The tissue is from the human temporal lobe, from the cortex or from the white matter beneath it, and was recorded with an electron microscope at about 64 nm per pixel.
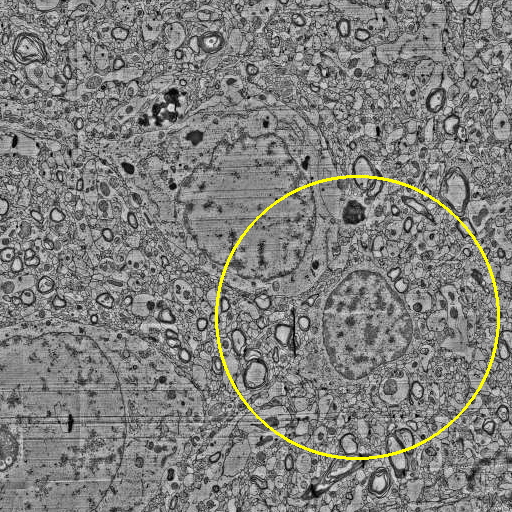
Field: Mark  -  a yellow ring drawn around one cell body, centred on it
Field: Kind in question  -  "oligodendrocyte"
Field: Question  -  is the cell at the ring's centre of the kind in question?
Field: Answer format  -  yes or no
yes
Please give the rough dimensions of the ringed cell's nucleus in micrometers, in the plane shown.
In this plane the nucleus measures roughly 7 by 6 micrometers.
